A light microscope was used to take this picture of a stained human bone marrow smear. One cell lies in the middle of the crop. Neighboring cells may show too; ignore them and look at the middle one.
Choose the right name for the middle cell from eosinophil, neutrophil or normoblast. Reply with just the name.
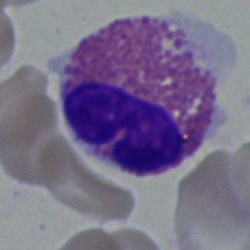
eosinophil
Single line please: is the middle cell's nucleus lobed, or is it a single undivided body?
The nuclear material is gathered into one compact round, oval or kidney-shaped mass.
